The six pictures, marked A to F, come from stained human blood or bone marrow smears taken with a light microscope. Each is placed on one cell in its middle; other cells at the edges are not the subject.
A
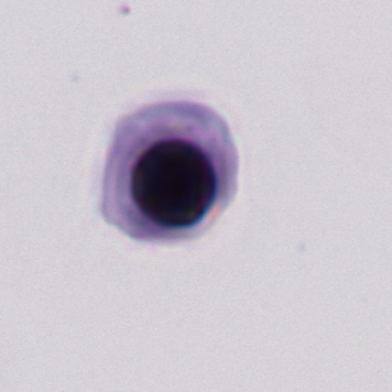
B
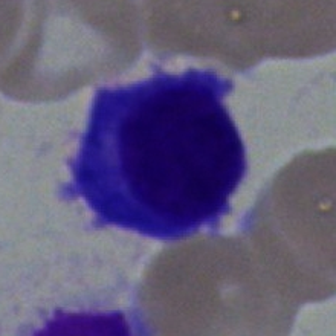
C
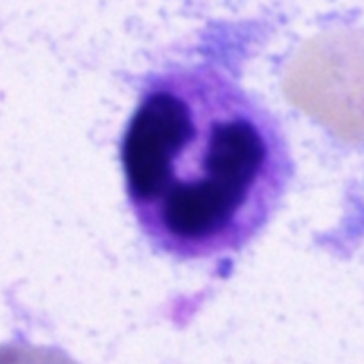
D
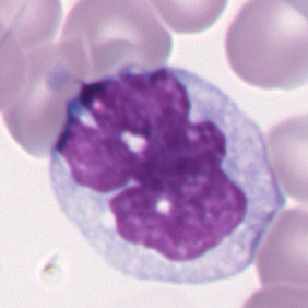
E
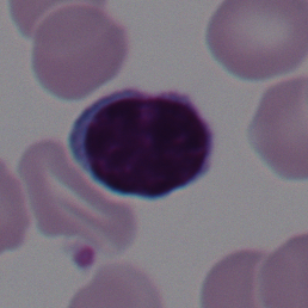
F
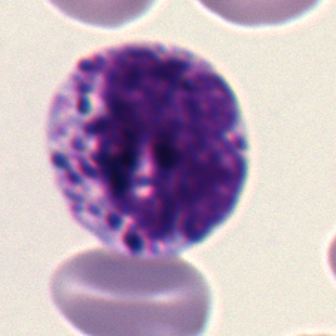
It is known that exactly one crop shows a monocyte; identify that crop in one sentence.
Of the crops shown, crop D depicts a monocyte.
